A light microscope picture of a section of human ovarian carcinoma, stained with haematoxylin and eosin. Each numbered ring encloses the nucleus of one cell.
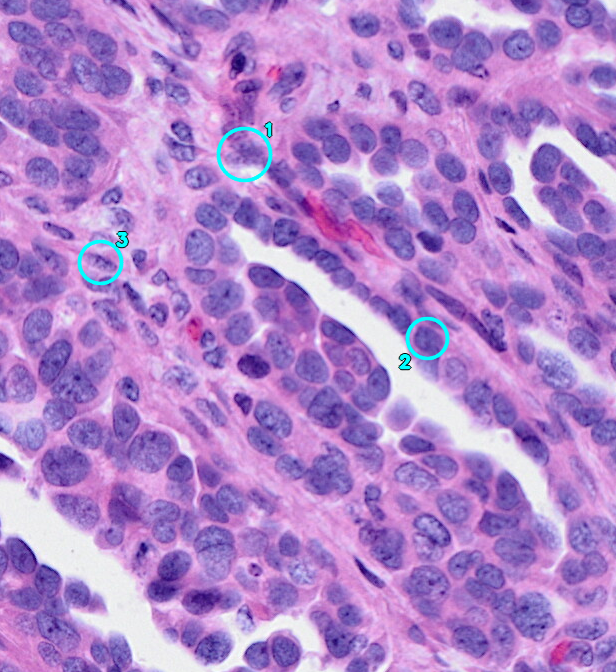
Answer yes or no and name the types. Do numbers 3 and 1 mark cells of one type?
Yes, the two cells marked 3 and 1 are both fibroblasts.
